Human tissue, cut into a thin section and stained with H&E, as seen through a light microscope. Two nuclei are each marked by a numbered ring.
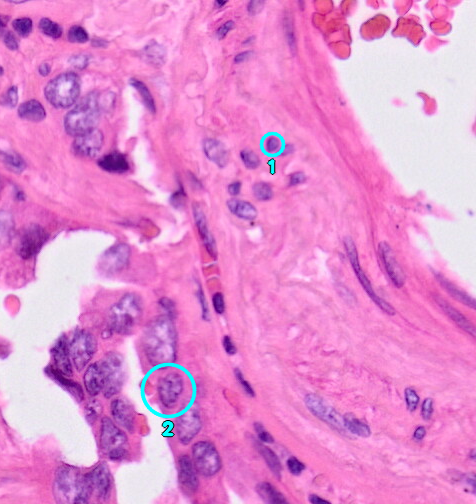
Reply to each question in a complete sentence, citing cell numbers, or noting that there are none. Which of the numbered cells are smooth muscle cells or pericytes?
In short, cell 1 is a smooth muscle cell or pericyte; the others are not.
